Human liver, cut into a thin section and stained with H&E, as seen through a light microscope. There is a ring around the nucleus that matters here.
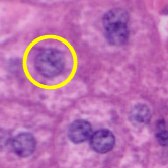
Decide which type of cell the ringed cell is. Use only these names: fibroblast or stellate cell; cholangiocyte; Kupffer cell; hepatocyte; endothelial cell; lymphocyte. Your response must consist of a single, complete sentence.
Typologically, the ringed cell is a hepatocyte in this section.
